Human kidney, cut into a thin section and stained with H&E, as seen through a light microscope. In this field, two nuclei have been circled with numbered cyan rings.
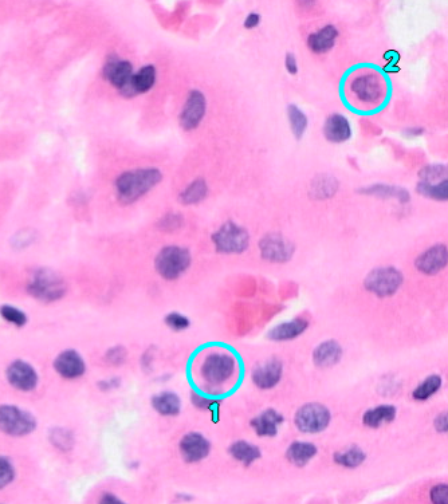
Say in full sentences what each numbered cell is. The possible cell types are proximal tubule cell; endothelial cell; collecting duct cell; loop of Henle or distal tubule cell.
Cell 1 is a loop of Henle or distal tubule cell. Cell 2 is a proximal tubule cell.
